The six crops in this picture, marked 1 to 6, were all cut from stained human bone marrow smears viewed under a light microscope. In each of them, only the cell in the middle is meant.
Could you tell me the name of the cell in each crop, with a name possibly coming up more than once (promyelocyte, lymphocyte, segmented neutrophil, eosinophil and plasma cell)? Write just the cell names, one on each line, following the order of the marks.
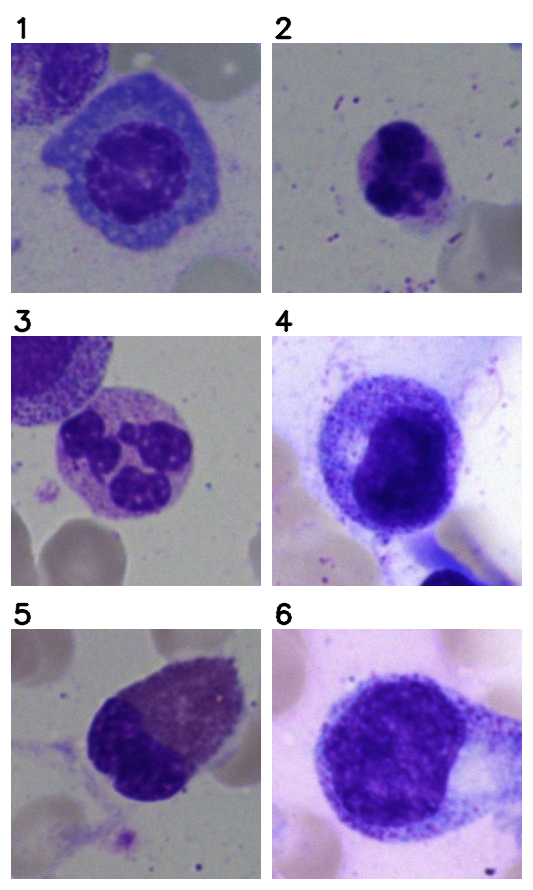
plasma cell
segmented neutrophil
segmented neutrophil
promyelocyte
eosinophil
promyelocyte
